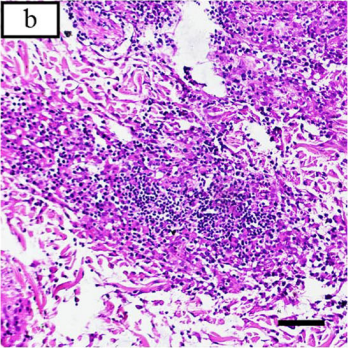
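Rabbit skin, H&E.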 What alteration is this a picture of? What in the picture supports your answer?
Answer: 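Inflammatory infiltrates. Dense sheet of small dark-purple nuclei fills the centre of the dermis. The cells spread diffusely among the pink collagen fibres.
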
